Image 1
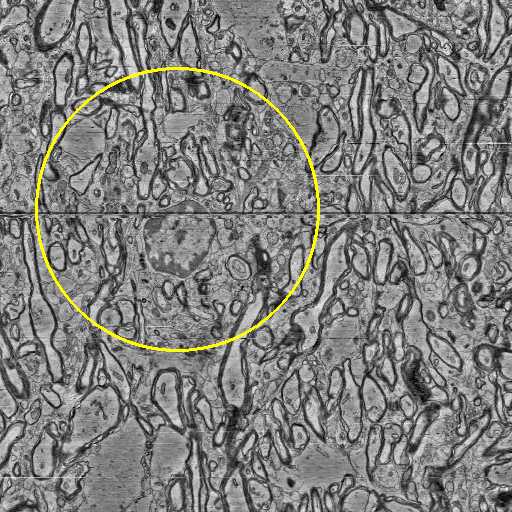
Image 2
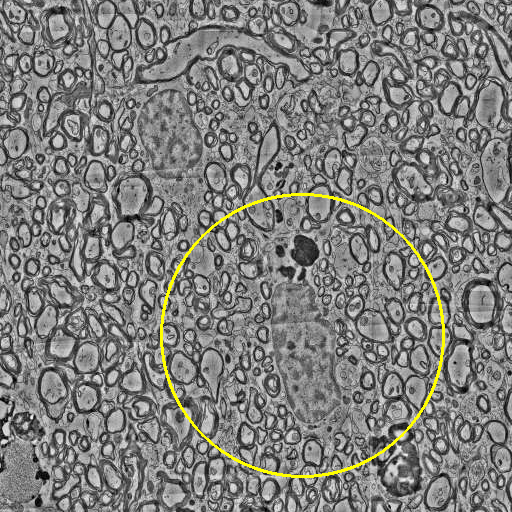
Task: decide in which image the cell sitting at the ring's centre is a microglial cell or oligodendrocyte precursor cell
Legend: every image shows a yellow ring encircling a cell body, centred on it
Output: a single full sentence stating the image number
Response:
In image 1, the cell at the middle of the ring is the match.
